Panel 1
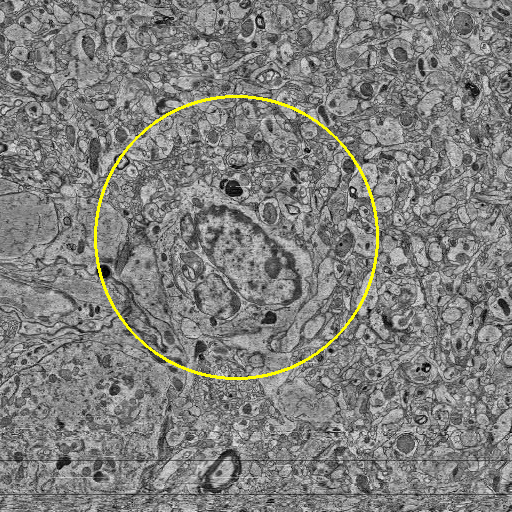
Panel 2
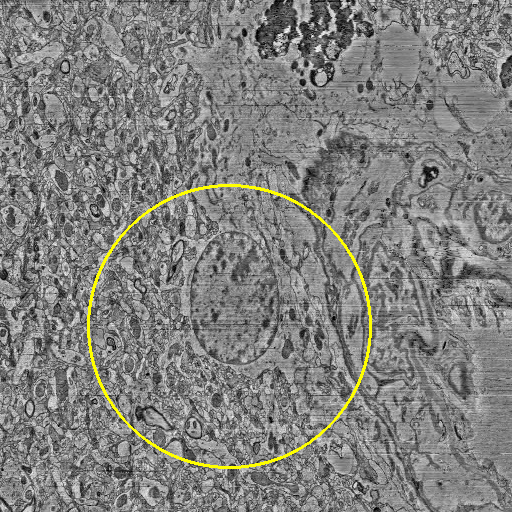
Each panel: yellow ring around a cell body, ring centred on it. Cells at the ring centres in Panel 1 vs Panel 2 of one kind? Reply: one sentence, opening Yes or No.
No, Panel 1 and Panel 2 have cells of two kinds at the ring centres.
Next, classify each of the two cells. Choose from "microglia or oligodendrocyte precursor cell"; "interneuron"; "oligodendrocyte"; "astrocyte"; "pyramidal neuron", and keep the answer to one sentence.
In the first picture it is a microglial cell or oligodendrocyte precursor cell; in the second it is an astrocyte.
